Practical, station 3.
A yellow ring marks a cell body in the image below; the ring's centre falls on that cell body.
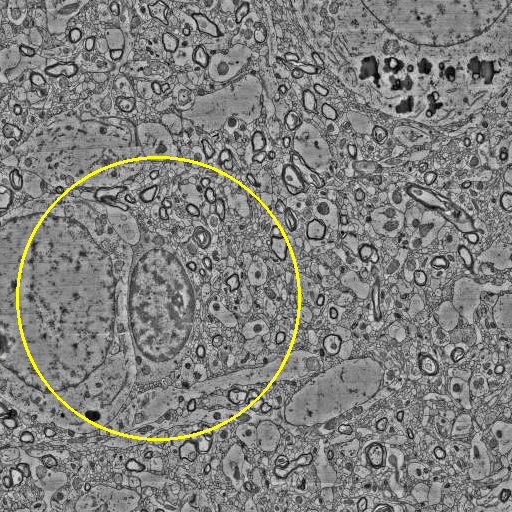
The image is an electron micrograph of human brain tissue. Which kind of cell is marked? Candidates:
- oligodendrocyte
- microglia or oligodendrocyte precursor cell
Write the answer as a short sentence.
The marked cell body is that of an oligodendrocyte.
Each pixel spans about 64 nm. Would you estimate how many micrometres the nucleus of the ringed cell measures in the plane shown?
The nucleus is approximately 7 micrometres long but only about 4 wide, clearly longer than it is wide in this plane.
